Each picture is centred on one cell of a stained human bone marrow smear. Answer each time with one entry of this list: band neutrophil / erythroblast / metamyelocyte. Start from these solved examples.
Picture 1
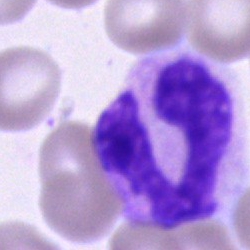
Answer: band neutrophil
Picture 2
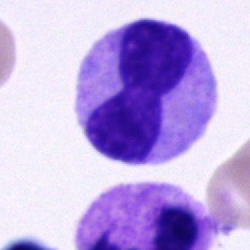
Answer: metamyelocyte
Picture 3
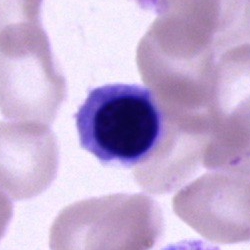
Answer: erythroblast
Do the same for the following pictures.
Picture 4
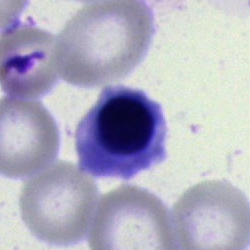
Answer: erythroblast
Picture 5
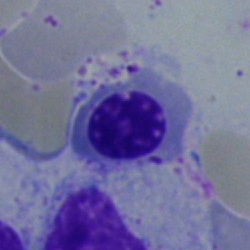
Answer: erythroblast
